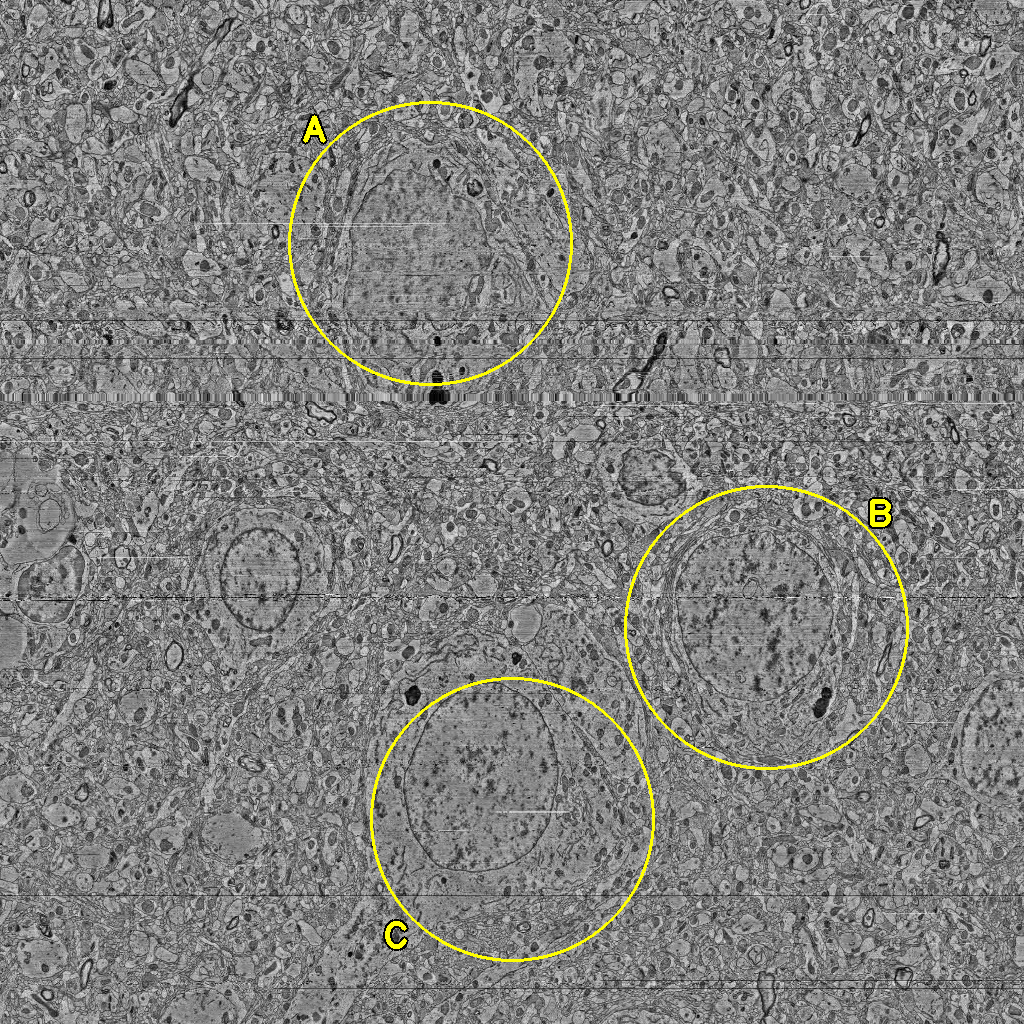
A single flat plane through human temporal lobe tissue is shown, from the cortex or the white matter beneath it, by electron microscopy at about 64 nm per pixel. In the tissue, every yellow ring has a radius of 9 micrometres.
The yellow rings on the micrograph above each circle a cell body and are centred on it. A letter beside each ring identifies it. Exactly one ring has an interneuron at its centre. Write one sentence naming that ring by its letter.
Ring A is the one.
